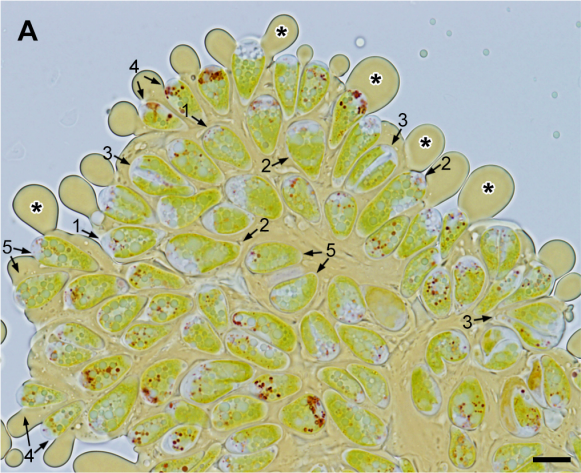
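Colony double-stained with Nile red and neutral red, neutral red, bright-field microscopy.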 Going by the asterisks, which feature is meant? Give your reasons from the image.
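Rounded, smooth, pale yellow-brown globules bulge from the colony margin. The globules contain no cells or internal granules. They sit outside the outermost ring of cells.
Hence: exuded lipids.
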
